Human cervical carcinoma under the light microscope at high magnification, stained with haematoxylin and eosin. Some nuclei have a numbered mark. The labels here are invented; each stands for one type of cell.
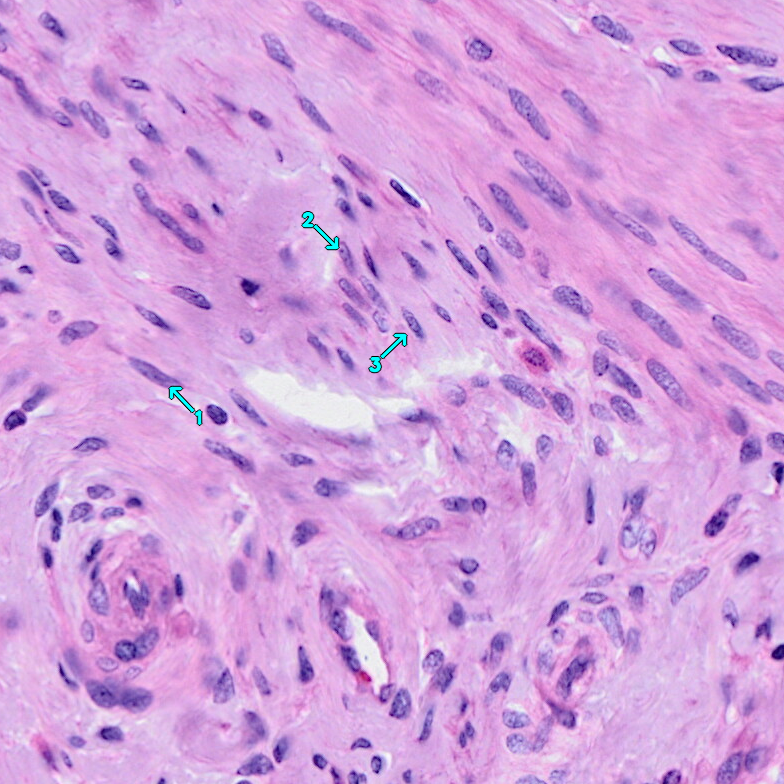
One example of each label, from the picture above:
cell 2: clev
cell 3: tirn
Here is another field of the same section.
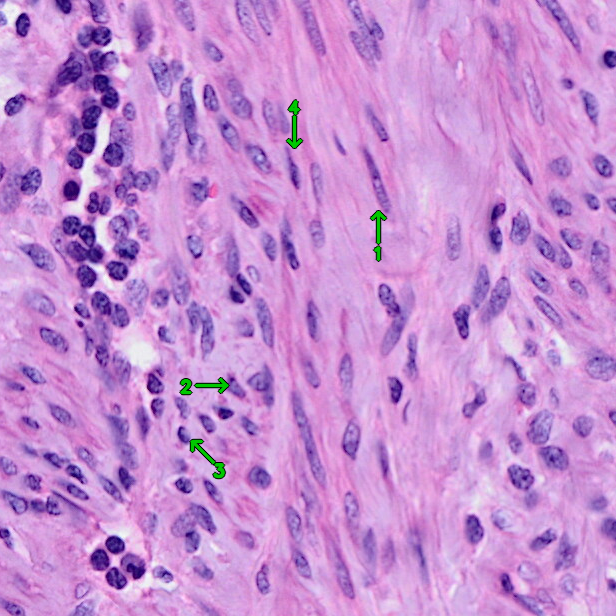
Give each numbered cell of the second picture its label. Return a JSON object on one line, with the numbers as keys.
{"1": "clev", "2": "clev", "3": "tirn", "4": "clev"}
